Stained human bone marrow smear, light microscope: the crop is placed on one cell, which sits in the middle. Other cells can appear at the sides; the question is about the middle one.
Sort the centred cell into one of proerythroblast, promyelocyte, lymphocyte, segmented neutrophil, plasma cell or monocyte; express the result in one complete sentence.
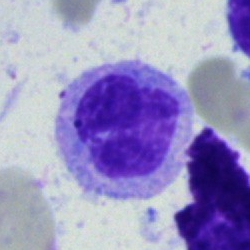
The target cell in the middle of the crop is a monocyte.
